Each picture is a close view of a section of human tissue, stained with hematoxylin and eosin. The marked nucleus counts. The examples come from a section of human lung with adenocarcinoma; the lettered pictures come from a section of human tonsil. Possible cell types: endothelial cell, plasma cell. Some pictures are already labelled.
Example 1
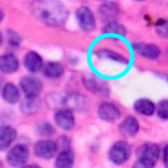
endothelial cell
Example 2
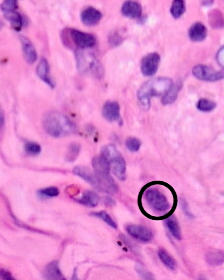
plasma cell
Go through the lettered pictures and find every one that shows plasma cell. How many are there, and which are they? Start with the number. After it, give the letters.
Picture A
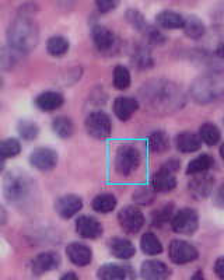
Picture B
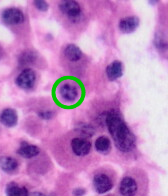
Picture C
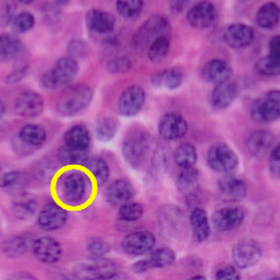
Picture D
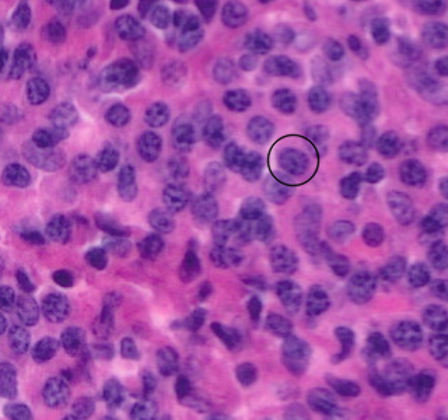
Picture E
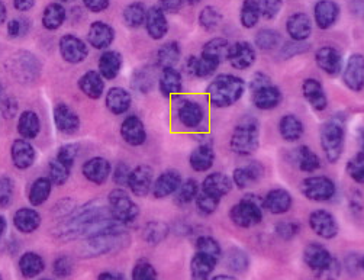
4, namely B, C, D, E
